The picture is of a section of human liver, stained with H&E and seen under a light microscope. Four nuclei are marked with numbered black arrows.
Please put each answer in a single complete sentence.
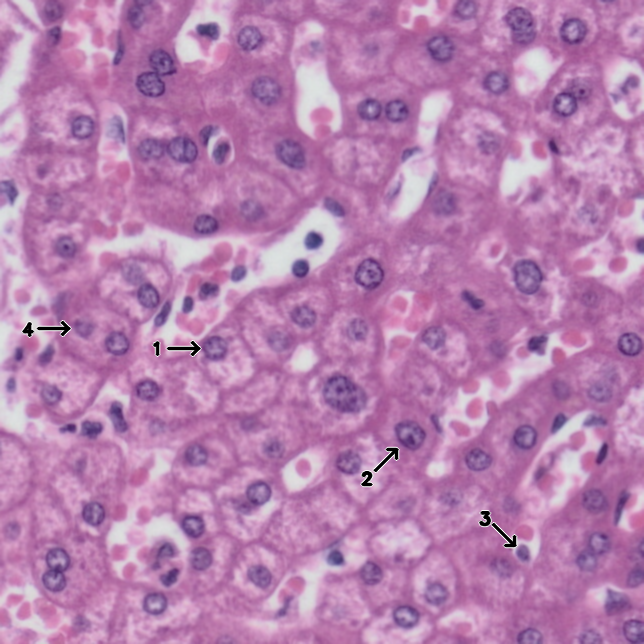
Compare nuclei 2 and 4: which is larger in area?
Nucleus 2 is larger, with an area about 2 times that of nucleus 4.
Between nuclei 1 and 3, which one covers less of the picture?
Nucleus 3 covers less area, with nucleus 1 about 2 times as large.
